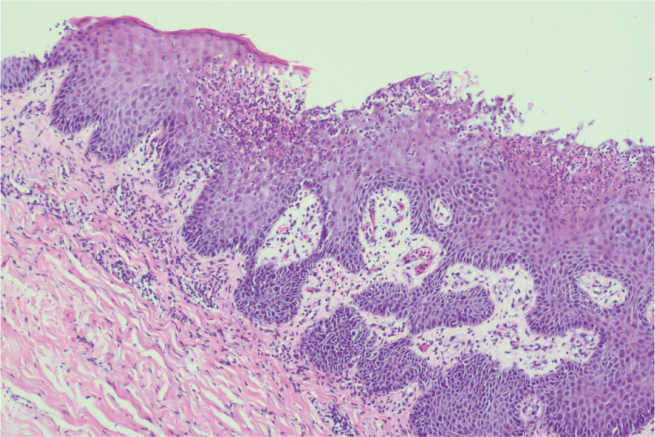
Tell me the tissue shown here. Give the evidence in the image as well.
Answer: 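Epidermis. A stratified squamous epithelium with a thin pink keratin layer lies along the top surface. Rete ridges of basophilic basal cells project down into pale pink fibrous connective tissue.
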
